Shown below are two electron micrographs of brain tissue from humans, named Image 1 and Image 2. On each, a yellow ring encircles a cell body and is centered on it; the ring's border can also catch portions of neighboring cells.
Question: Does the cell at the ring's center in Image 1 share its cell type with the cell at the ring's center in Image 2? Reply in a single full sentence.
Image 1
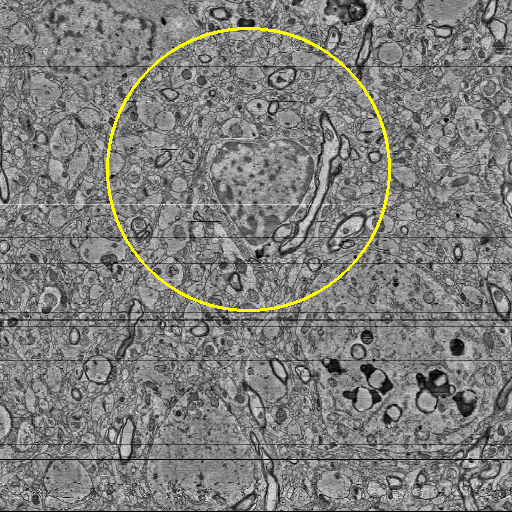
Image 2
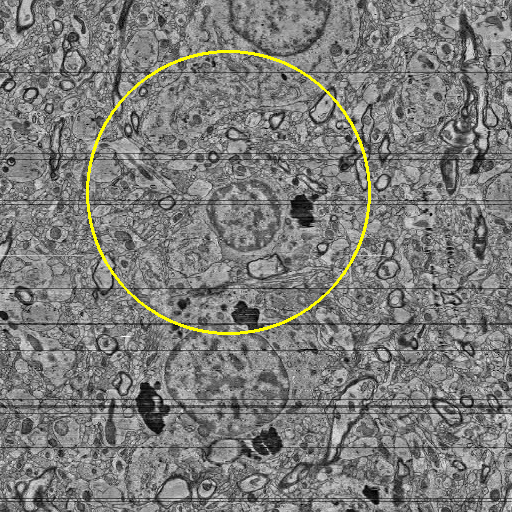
No, the two cells at the ring centers, in Image 1 and Image 2, are of two cell types.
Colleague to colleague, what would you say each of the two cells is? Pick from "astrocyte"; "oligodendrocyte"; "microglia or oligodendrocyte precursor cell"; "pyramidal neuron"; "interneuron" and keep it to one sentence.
The cell in the first picture is a microglial cell or oligodendrocyte precursor cell; the second picture's cell is an oligodendrocyte.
